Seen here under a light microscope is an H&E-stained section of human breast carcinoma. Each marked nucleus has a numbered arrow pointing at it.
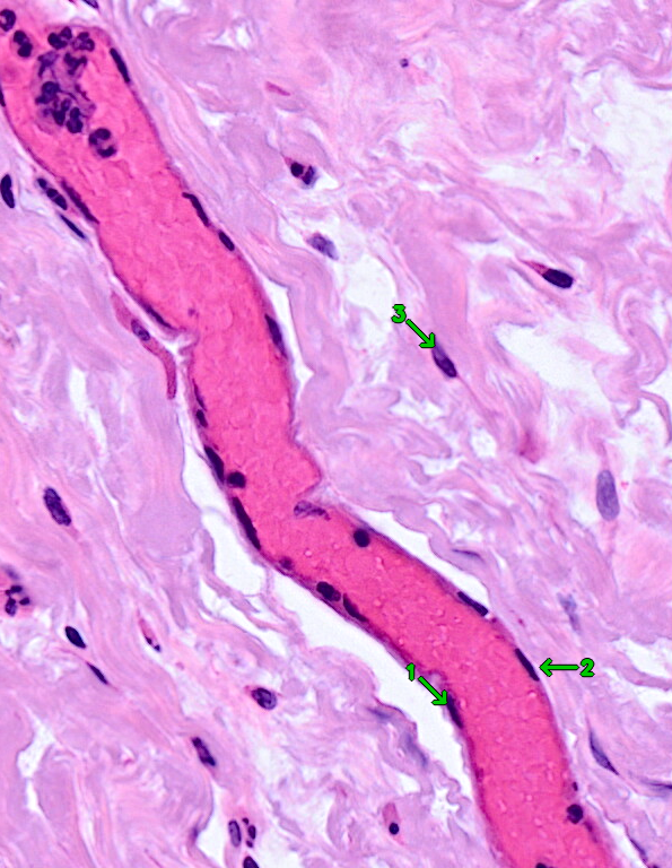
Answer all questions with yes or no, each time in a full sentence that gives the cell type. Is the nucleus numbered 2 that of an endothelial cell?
Yes, the numbered cell 2 is an endothelial cell.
